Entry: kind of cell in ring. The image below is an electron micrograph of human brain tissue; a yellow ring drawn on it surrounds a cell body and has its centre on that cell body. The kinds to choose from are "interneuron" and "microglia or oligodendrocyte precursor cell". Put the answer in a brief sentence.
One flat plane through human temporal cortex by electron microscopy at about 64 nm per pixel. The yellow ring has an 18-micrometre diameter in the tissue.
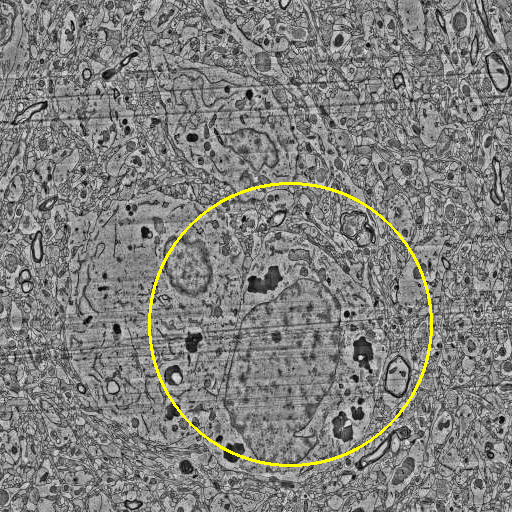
The ring has been drawn around an interneuron.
